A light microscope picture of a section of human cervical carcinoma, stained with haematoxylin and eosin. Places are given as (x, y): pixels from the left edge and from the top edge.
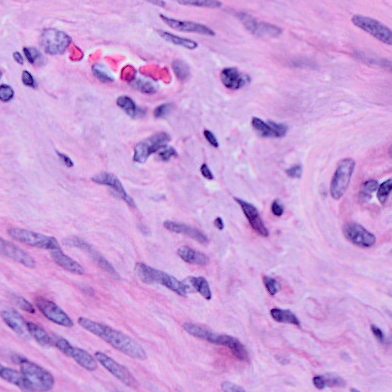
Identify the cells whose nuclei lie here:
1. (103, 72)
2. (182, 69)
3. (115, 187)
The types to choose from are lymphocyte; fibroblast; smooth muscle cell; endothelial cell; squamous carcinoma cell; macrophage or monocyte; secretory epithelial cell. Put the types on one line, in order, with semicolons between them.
endothelial cell; endothelial cell; fibroblast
